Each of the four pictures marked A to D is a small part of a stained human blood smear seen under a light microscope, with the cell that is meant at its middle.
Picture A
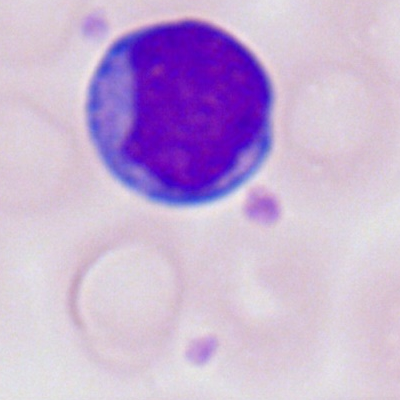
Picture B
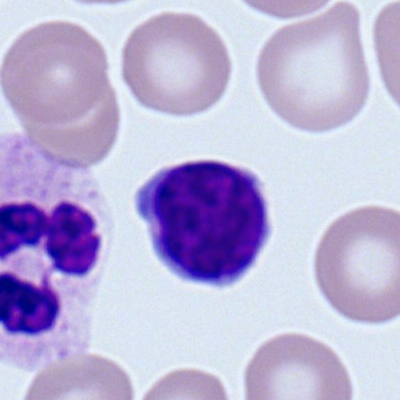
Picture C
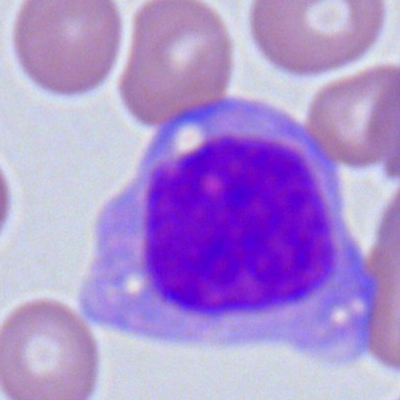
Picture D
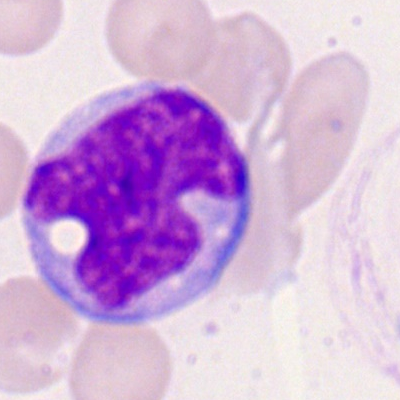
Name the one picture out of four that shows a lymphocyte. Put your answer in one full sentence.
The lymphocyte is the one in picture B.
